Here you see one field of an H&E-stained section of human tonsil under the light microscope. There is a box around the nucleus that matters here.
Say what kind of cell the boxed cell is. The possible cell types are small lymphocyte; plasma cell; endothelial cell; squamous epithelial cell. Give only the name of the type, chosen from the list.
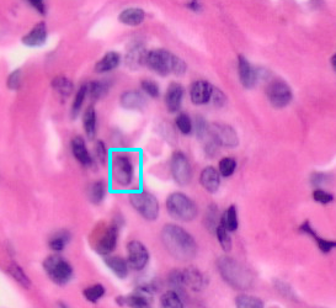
endothelial cell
